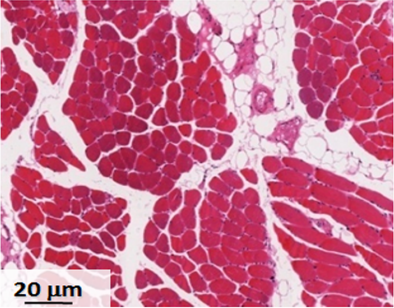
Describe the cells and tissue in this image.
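This is skeletal muscle cut in cross-section. The muscle fibers are polygonal, closely packed and stain deep pink, grouped into fascicles that are separated by thin, pale connective tissue septa. Small dark nuclei lie at the periphery of the fibers rather than in their centers. Fibers vary moderately in size. Between the fascicles, in the upper middle of the field, there is a cluster of rounded, empty-looking fat cells with thin walls, together with loose connective tissue and a small vessel. No inflammatory infiltrate is evident.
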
